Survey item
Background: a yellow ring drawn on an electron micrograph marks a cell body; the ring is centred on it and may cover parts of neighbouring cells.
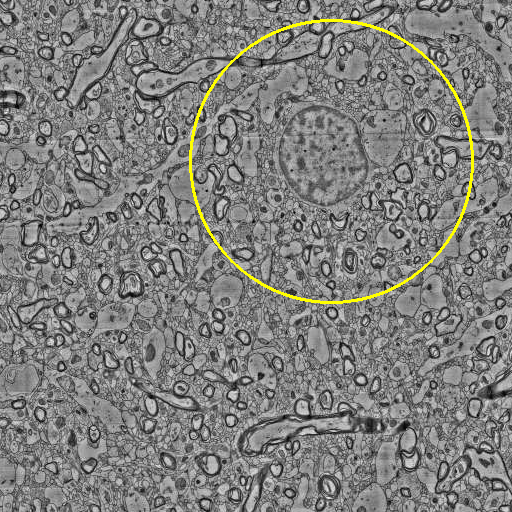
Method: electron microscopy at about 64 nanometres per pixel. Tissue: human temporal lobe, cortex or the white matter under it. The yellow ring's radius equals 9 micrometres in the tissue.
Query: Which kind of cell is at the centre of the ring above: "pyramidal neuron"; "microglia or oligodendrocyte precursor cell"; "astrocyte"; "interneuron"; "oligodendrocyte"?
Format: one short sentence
The cell in the middle of the ring is an oligodendrocyte.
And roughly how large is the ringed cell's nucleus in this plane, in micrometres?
The nucleus is approximately 6 micrometers long by 5 micrometers wide in this plane.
